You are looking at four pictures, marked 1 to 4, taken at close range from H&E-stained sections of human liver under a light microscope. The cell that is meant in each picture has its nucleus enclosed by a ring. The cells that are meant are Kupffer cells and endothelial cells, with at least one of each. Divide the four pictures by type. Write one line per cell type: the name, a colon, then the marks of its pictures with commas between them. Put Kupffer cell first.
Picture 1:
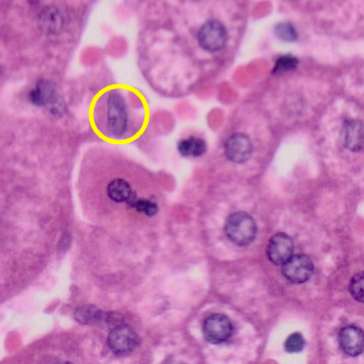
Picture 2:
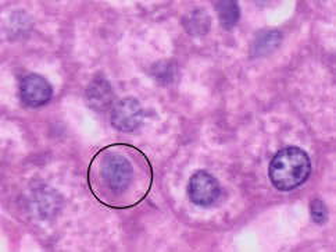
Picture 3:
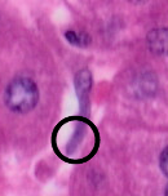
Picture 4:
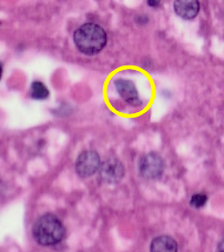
Kupffer cell: 1, 3, 4
endothelial cell: 2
